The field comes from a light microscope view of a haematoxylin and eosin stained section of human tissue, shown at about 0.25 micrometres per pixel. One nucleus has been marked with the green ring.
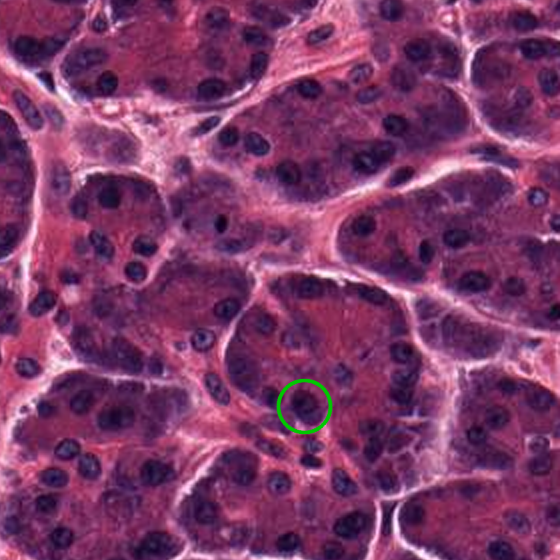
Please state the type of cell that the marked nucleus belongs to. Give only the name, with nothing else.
pancreatic acinar cell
